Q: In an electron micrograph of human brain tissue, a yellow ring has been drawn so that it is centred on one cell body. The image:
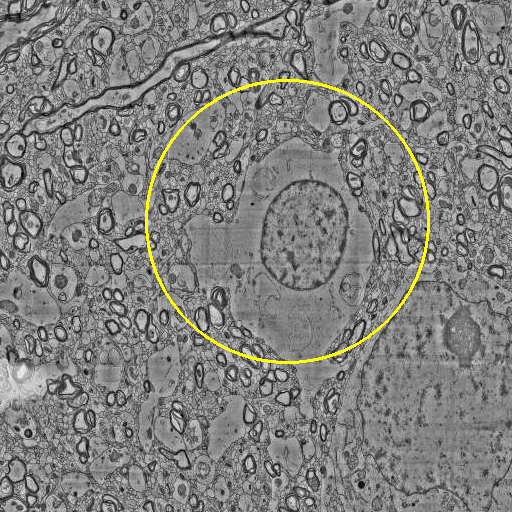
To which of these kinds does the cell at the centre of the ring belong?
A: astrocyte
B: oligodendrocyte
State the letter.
A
